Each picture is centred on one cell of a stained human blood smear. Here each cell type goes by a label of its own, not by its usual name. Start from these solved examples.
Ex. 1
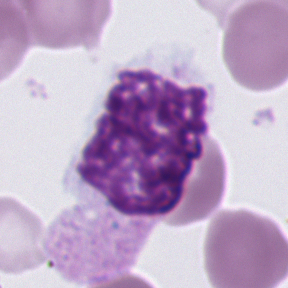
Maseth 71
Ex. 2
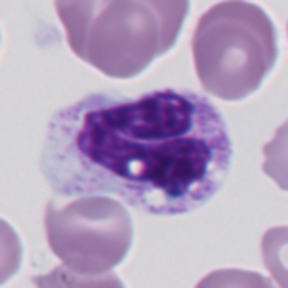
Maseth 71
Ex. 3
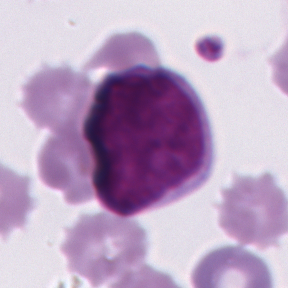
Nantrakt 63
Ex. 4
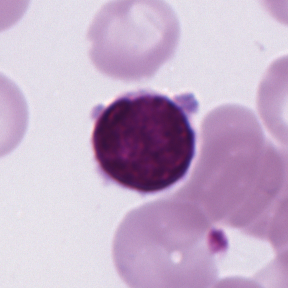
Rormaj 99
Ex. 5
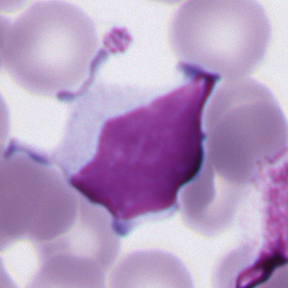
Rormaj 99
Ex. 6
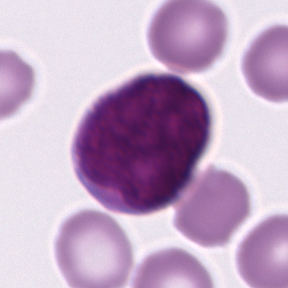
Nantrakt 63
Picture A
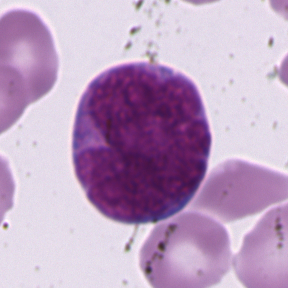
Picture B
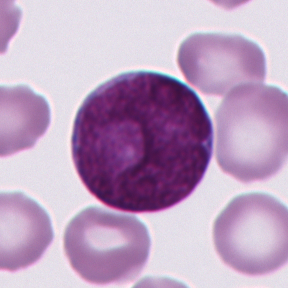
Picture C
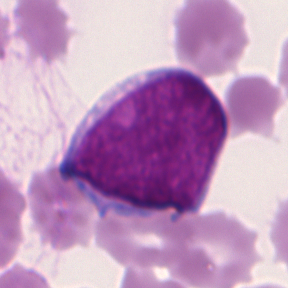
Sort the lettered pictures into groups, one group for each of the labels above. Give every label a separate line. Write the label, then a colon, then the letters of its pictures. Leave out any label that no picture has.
Nantrakt 63: A, B, C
